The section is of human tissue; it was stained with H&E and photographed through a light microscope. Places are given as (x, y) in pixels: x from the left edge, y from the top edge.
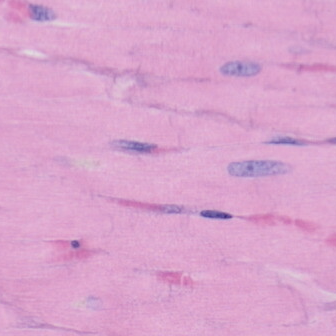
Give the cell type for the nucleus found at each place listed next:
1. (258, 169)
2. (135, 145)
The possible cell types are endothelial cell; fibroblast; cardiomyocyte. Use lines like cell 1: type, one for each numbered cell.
cell 1: cardiomyocyte
cell 2: endothelial cell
